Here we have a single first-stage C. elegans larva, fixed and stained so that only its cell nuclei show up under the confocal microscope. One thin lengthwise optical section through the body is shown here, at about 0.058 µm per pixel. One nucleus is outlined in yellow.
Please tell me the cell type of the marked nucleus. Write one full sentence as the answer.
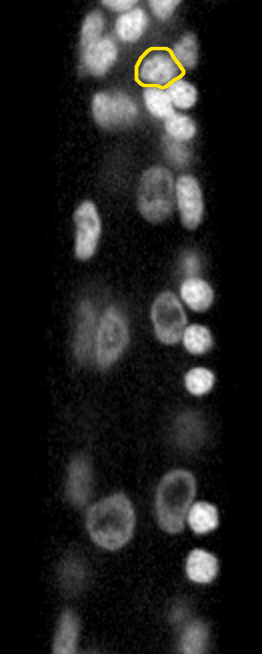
What is marked is the nucleus of a rectal epithelial cell.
